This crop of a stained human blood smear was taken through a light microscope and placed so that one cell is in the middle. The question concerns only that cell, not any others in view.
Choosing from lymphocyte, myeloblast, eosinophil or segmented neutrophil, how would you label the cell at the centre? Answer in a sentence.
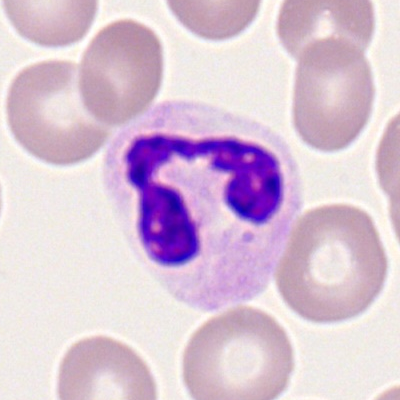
What sits at the centre of this crop is a segmented neutrophil.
